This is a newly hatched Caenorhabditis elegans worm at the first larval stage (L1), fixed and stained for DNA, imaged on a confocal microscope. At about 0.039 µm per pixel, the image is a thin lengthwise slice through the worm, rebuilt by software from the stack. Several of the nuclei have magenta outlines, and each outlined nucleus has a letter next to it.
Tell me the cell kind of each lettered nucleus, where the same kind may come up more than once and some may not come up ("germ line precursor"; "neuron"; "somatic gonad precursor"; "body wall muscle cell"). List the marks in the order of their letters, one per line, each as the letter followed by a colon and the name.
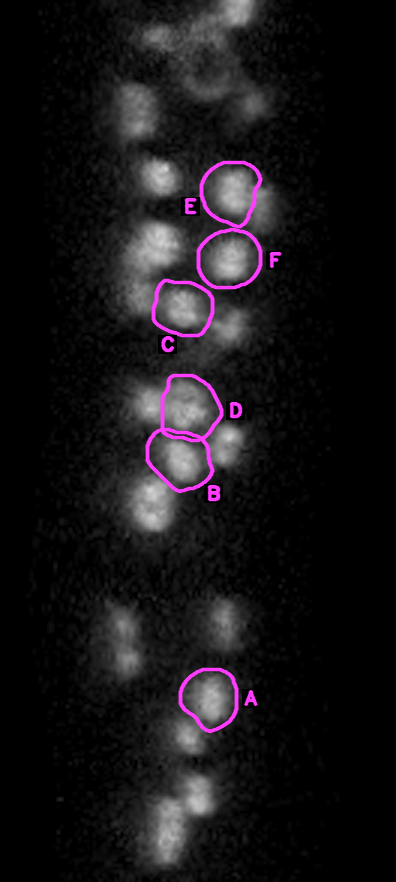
A: body wall muscle cell
B: somatic gonad precursor
C: body wall muscle cell
D: germ line precursor
E: body wall muscle cell
F: somatic gonad precursor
